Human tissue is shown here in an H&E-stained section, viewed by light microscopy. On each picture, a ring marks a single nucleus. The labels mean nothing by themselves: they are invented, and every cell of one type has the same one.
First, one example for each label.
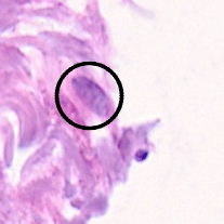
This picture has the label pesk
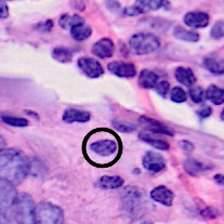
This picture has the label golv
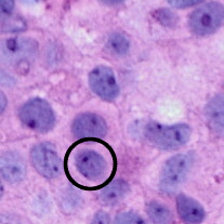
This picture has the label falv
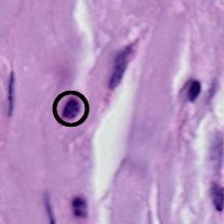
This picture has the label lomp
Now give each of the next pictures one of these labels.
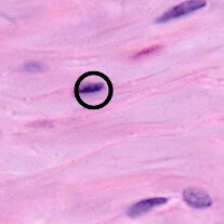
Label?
pesk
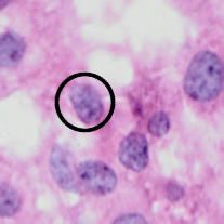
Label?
falv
